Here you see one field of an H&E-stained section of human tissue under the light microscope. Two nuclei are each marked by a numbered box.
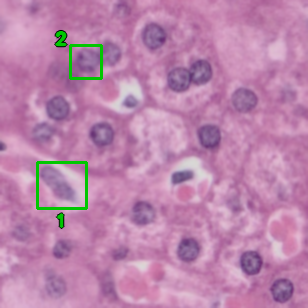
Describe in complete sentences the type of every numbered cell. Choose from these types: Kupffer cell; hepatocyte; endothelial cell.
Cell 1 is a Kupffer cell and cell 2 is a hepatocyte.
